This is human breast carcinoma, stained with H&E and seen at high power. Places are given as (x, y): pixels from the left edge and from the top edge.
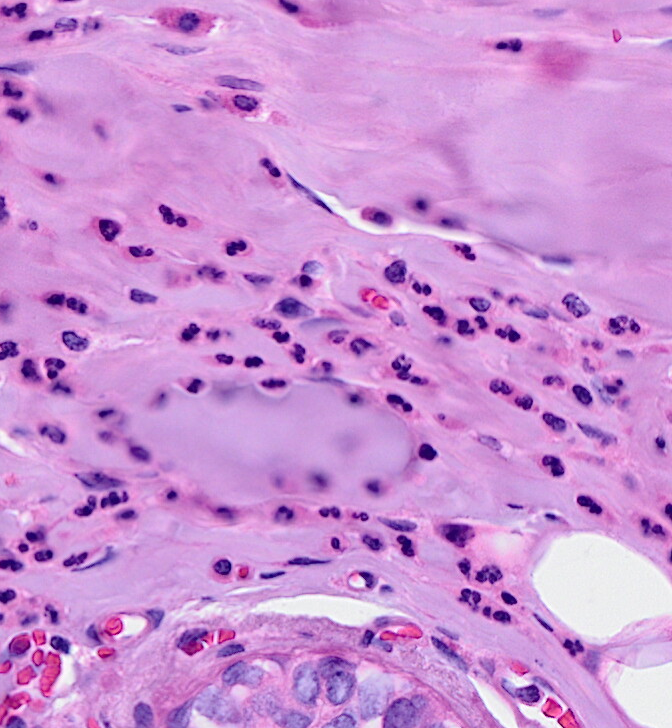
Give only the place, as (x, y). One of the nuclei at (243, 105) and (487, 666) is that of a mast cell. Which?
(243, 105)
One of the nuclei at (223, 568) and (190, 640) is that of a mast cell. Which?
(223, 568)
